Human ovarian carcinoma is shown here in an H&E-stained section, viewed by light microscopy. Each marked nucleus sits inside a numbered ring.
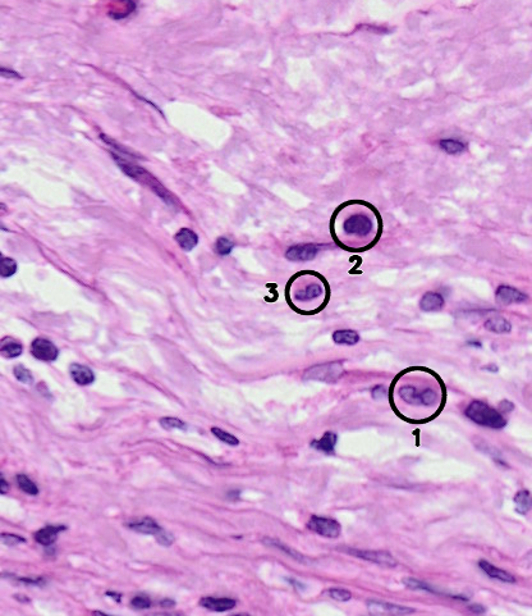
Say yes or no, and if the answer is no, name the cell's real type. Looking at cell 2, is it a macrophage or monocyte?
No, it is a lymphocyte.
